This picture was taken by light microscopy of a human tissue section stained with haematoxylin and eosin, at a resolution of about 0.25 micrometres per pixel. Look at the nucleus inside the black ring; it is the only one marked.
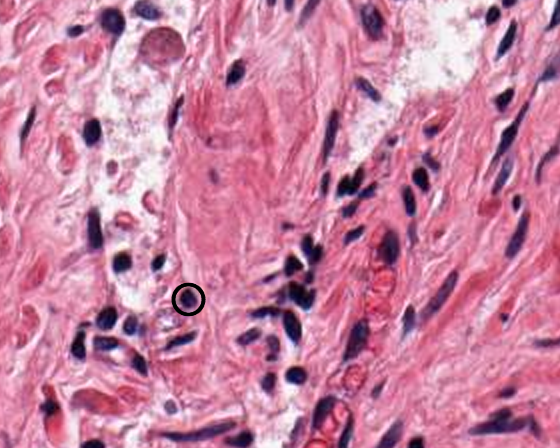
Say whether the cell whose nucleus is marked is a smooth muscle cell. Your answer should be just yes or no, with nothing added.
no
